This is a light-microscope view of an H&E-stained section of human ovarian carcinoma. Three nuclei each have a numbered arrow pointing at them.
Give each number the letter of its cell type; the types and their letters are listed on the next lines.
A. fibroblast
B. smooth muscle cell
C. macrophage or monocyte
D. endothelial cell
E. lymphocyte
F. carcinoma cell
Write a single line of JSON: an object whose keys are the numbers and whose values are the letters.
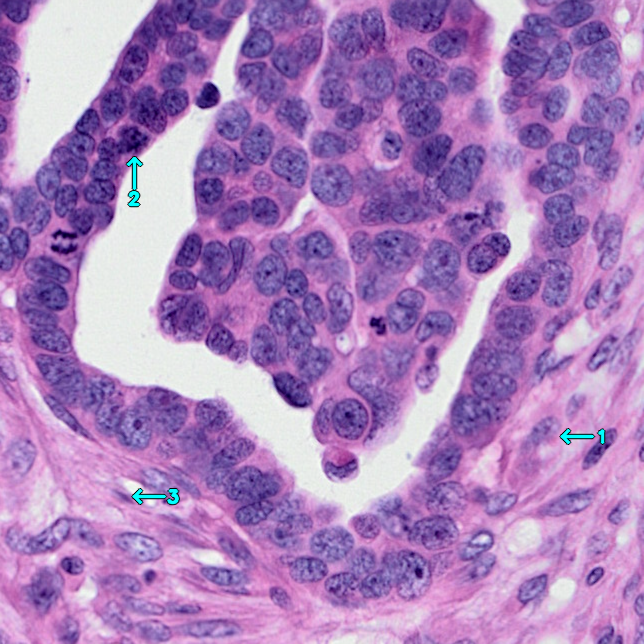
{"1": "A", "2": "F", "3": "A"}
